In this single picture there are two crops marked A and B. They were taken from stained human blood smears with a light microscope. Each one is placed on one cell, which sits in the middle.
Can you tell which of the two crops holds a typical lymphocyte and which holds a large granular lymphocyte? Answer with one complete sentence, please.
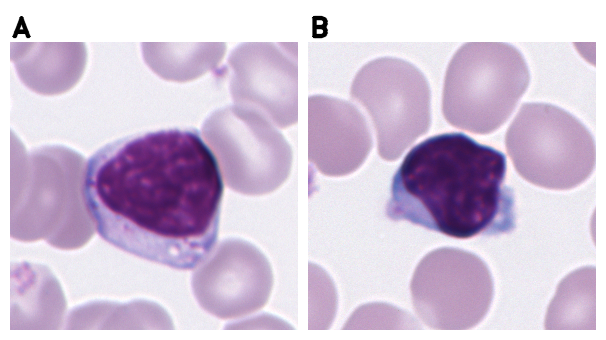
Identified in crop A is a large granular lymphocyte, with a typical lymphocyte identified in crop B.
